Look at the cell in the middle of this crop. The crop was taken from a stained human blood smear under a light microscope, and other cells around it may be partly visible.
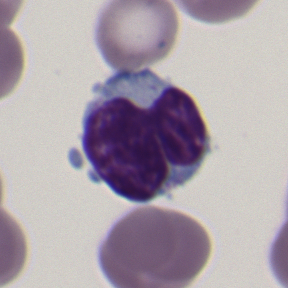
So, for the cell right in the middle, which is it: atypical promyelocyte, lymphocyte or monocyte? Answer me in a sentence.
This crop is built around a monocyte at its centre.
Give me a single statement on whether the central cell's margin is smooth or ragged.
Not smooth, the outline of the cell is ragged or drawn out into projections.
